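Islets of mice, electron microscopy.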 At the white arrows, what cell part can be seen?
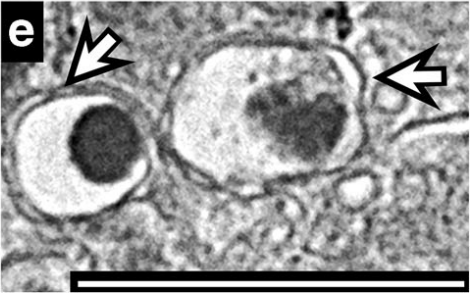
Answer: Capsule.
